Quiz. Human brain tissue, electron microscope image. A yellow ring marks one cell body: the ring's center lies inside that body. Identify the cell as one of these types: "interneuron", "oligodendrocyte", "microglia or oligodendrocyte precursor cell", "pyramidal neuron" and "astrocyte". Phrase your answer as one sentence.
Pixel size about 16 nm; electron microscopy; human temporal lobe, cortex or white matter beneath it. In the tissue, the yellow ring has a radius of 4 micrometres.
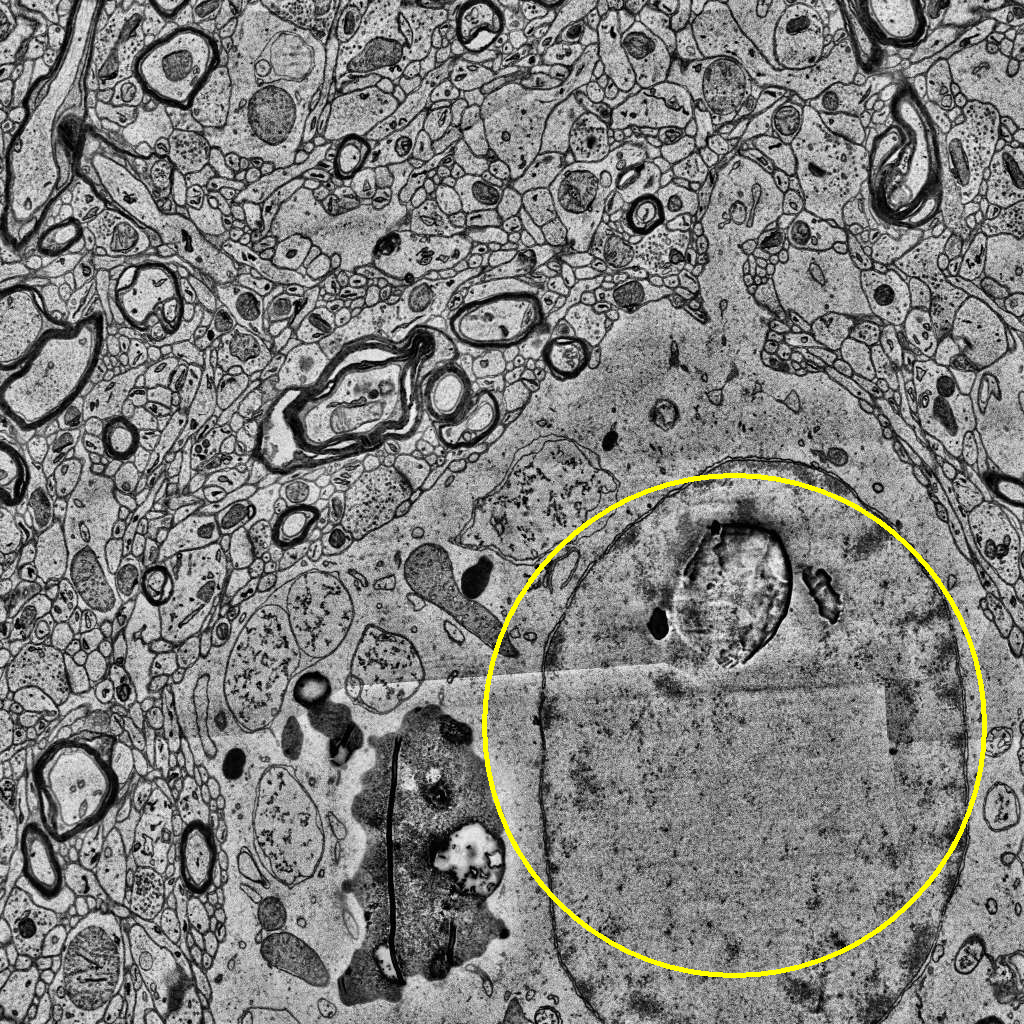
At the center of the ring sits an astrocyte.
